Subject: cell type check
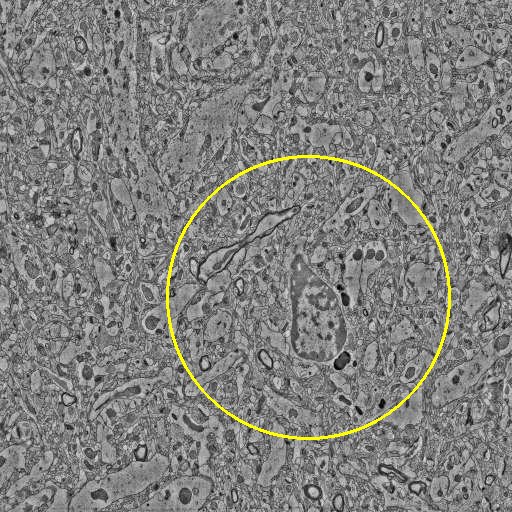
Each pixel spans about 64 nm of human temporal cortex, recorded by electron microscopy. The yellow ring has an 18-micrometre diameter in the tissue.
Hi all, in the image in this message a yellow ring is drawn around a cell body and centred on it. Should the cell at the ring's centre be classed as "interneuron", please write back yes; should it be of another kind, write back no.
no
